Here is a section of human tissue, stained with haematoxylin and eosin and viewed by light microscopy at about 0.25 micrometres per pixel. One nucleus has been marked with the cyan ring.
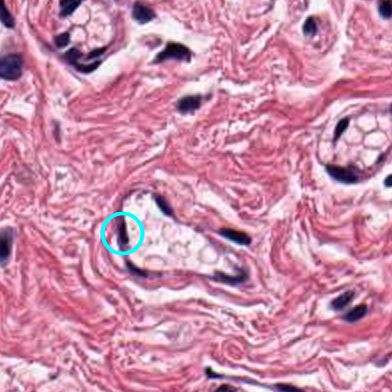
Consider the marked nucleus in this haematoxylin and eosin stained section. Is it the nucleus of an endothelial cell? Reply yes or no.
yes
